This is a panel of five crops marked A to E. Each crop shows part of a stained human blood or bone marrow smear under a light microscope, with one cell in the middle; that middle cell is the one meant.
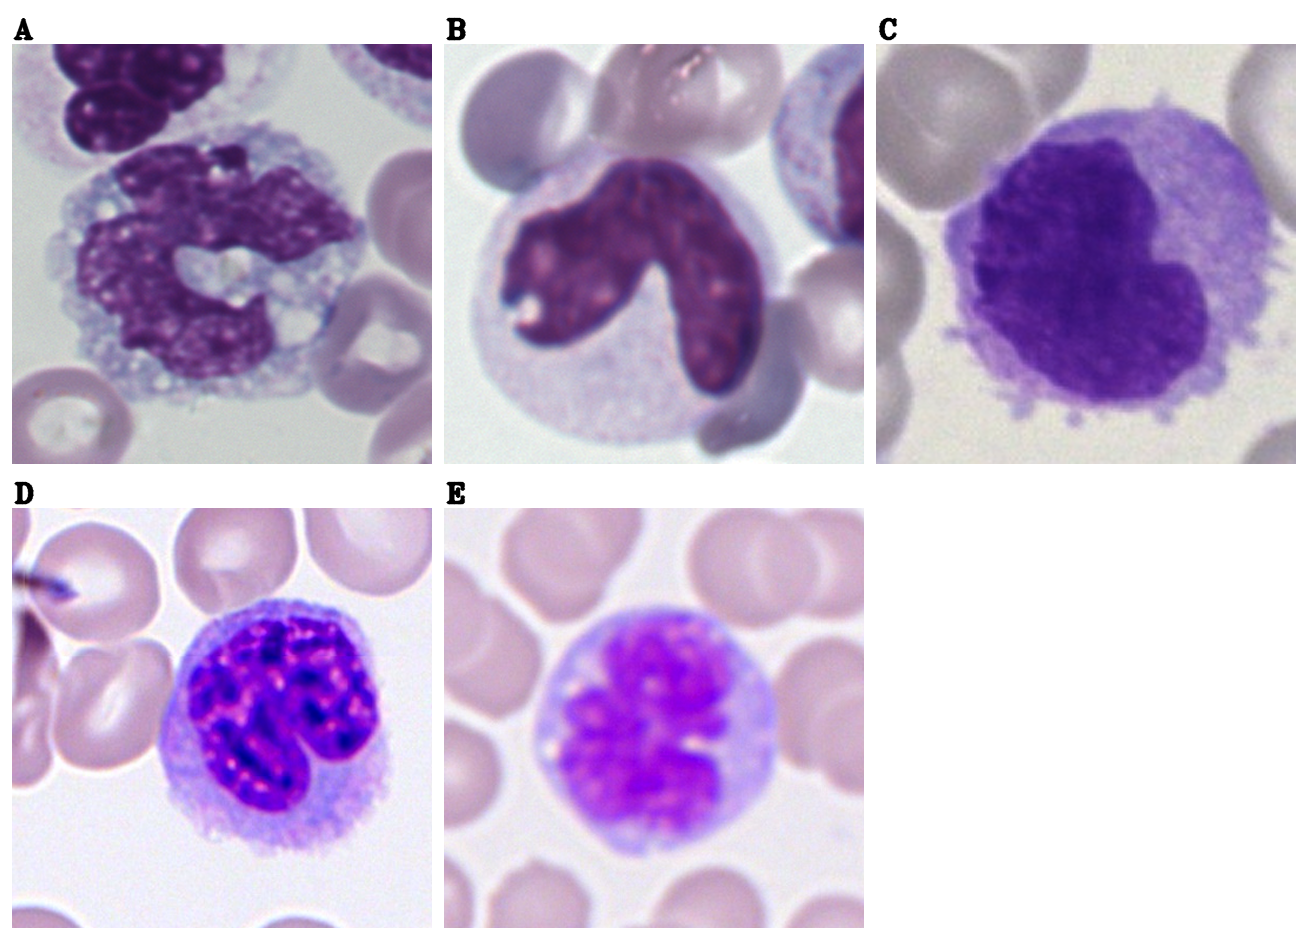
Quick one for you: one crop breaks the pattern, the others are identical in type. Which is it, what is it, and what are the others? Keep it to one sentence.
Crop B contains a band neutrophil, setting it apart from the other crops, which all contain monocytes.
